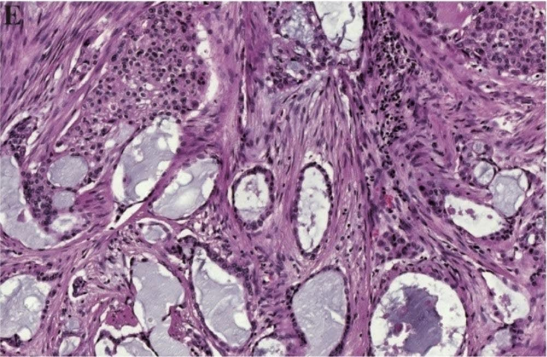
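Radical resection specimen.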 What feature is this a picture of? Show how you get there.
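Gland-like spaces are filled with pale grey-blue material. The spaces are lined by a layer of small cells. The answer: Mucous secretion.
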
